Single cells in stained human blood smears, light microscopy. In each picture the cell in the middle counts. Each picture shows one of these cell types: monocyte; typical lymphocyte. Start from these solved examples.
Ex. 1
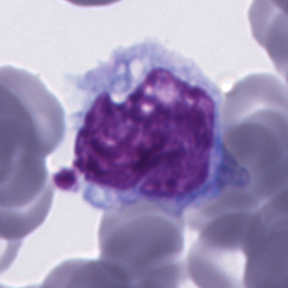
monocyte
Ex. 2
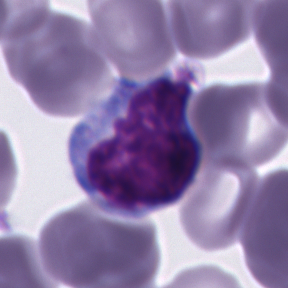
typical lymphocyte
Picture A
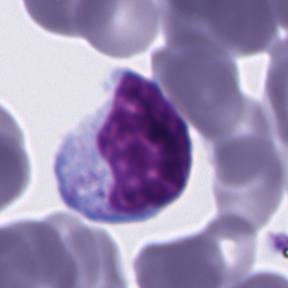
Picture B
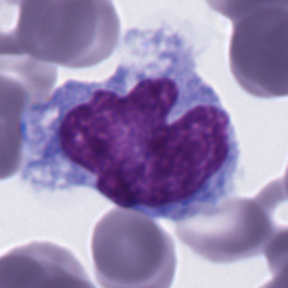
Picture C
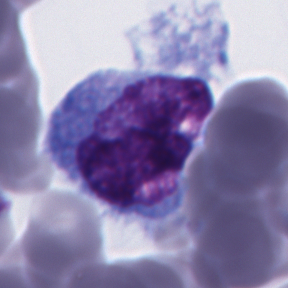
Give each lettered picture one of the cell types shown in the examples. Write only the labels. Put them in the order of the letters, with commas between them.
typical lymphocyte, monocyte, monocyte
